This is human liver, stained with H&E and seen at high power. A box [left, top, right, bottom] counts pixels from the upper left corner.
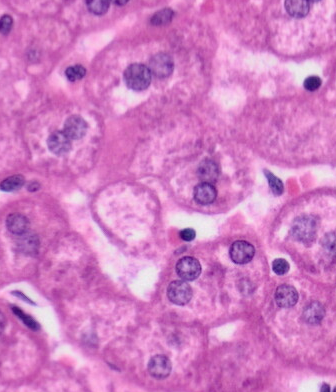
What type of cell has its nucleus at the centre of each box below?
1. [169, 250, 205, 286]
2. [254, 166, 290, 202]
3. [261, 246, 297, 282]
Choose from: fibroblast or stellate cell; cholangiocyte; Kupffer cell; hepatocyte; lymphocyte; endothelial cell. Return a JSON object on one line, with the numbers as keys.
{"1": "hepatocyte", "2": "lymphocyte", "3": "lymphocyte"}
